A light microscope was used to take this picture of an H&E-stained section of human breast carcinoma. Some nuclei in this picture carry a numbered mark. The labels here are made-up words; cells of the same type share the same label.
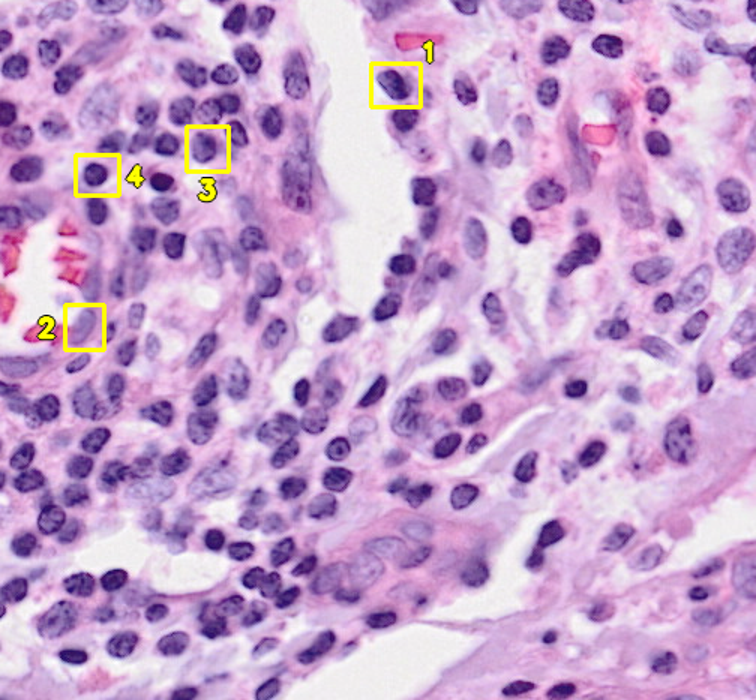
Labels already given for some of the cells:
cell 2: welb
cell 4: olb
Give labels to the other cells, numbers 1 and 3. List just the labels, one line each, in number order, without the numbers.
olb
olb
